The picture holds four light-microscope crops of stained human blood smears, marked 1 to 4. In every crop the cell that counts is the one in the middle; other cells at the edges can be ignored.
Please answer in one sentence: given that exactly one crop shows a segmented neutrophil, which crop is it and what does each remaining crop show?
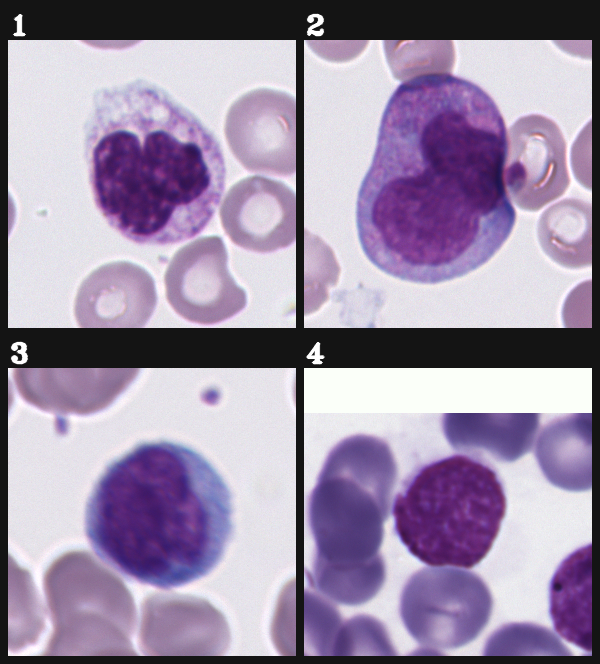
In short, crop 1 is a segmented neutrophil, and crop 2 is an atypical promyelocyte, crop 3 is a monocyte and crop 4 is a myeloblast.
